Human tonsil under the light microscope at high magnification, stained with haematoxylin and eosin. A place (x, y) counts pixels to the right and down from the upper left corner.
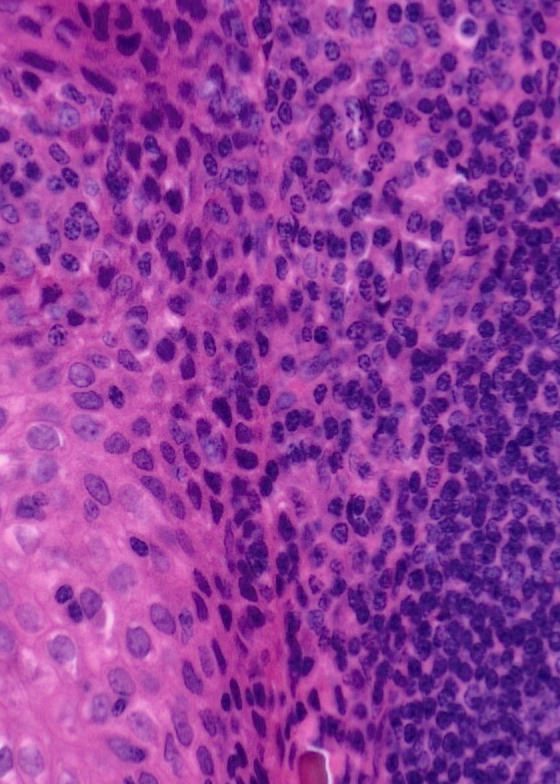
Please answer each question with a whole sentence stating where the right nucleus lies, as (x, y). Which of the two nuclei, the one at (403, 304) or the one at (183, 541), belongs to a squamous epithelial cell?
That would be the nucleus at (183, 541); it belongs to a squamous epithelial cell.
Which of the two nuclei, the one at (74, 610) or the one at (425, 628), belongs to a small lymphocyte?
Of the two nuclei, that at (425, 628) is the nucleus of a small lymphocyte.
